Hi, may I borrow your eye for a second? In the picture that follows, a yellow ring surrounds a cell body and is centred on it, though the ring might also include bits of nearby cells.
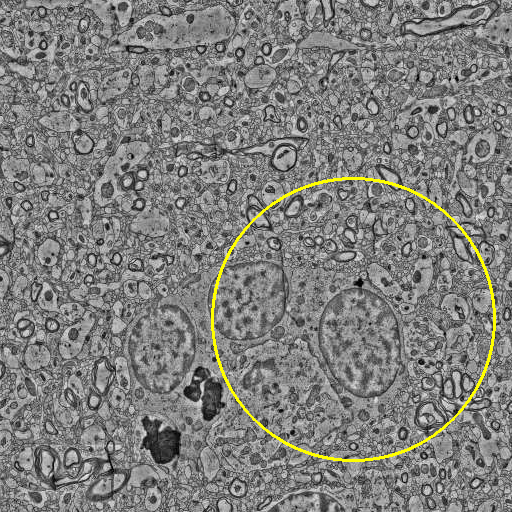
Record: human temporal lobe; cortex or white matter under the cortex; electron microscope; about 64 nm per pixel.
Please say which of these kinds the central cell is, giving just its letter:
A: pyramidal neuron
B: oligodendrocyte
B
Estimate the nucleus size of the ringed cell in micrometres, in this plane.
In this plane the nucleus measures roughly 7 by 5 micrometers.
